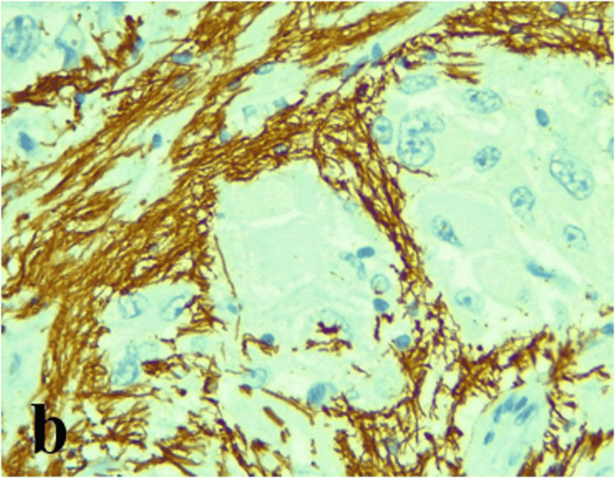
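The large cells have abundant pale cytoplasm and large oval nuclei with fine, open chromatin and visible nucleoli. Small dark blue nuclei lie scattered along the brown fibrillary bands.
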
